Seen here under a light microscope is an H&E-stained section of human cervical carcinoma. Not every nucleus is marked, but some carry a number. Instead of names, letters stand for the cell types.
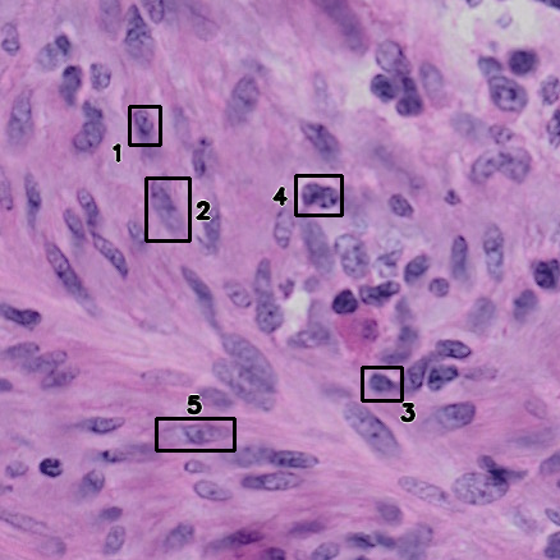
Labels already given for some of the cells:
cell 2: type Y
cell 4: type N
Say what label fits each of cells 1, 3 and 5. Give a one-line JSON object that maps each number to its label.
{"1": "type Y", "3": "type N", "5": "type Y"}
